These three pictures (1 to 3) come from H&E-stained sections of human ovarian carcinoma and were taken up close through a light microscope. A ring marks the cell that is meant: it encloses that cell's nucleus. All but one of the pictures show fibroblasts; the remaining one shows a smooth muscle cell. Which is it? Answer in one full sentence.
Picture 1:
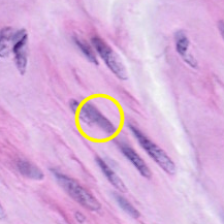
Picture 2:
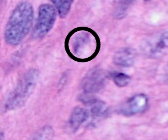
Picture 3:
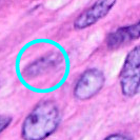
The smooth muscle cell is the one in picture 1.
